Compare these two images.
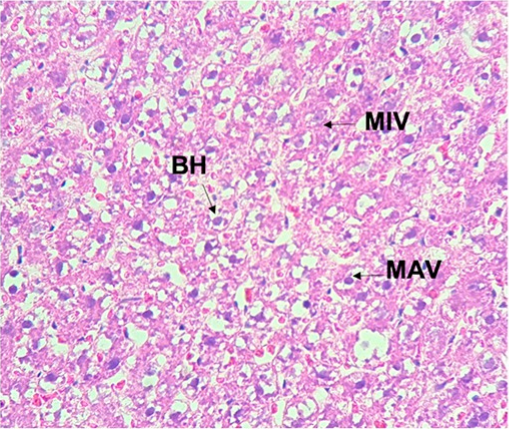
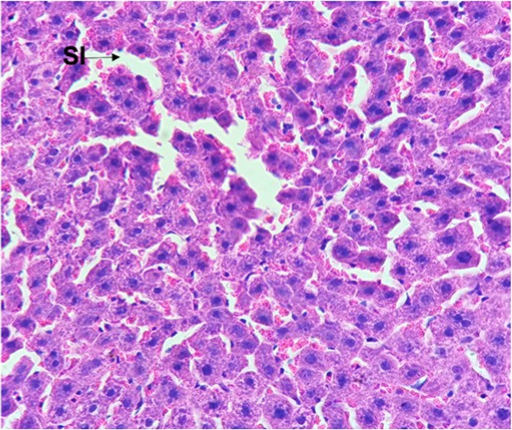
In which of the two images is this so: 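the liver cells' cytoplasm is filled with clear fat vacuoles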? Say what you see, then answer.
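The first image. Second image: hepatocytes have dense, evenly pink-purple cytoplasm without clear vacuoles. First image: hepatocyte cytoplasm is pale and foamy with many small and some larger clear vacuoles.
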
